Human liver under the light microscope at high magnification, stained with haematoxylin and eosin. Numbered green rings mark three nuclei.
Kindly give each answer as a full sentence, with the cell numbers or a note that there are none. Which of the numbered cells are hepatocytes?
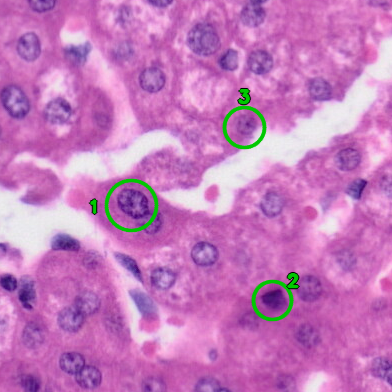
The identity of cells 1 and 3: they are hepatocytes.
